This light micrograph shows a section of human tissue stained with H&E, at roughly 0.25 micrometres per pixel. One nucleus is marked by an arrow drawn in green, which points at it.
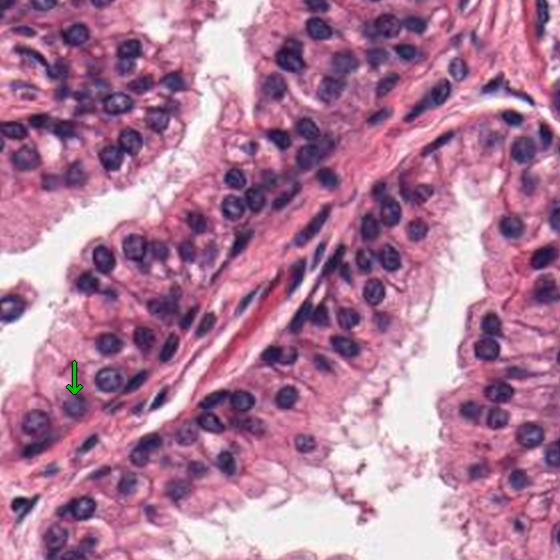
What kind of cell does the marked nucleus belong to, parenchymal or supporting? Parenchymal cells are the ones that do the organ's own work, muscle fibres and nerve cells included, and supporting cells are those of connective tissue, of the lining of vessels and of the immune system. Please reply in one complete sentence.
The marked nucleus belongs to one of the parenchymal cells, namely a prostate gland luminal cell.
